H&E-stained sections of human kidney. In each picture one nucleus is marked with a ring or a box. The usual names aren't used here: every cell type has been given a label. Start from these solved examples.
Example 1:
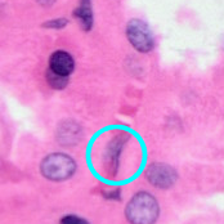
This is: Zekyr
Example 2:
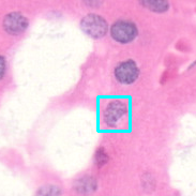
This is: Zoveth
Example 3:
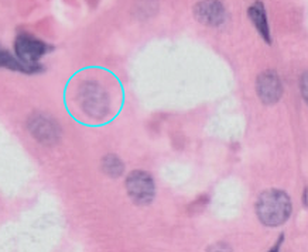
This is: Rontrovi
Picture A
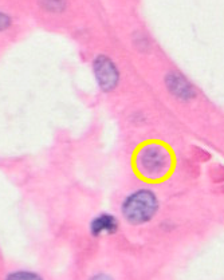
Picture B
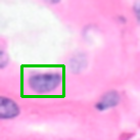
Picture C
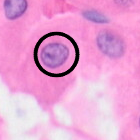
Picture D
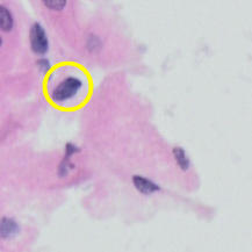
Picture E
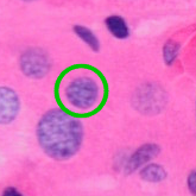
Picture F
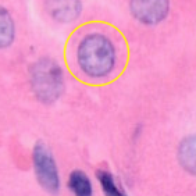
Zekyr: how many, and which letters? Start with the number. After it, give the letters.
Count: 1 (D)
